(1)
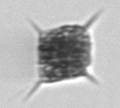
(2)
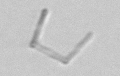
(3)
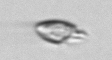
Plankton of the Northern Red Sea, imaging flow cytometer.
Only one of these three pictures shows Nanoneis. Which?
Picture 2.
